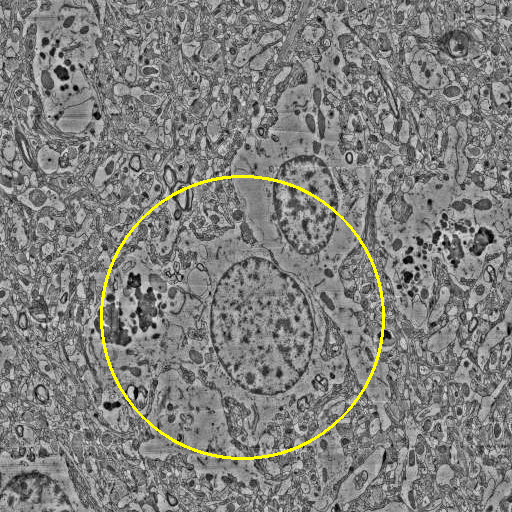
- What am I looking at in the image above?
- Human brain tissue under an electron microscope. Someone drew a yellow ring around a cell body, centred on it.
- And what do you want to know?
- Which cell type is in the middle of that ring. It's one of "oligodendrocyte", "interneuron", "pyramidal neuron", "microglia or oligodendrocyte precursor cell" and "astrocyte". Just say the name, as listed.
astrocyte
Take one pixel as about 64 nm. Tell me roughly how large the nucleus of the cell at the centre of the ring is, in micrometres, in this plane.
Roughly 9 by 7 micrometres is the size of the nucleus in this plane.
